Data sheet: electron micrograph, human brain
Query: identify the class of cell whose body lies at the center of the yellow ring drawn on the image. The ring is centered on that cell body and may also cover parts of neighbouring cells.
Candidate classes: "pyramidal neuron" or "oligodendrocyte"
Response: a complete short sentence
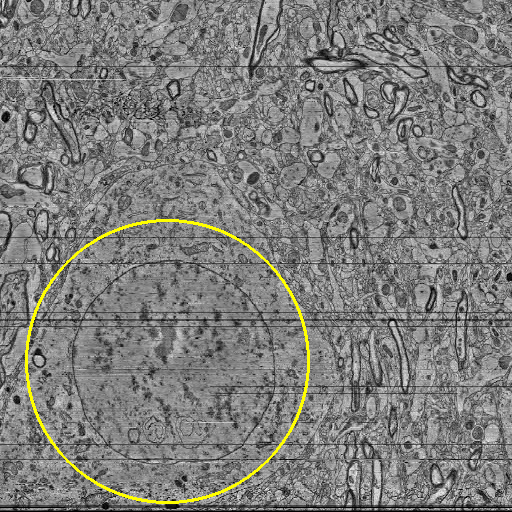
At the center of the ring lies a pyramidal neuron.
